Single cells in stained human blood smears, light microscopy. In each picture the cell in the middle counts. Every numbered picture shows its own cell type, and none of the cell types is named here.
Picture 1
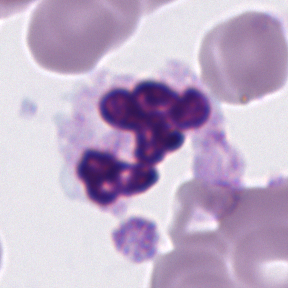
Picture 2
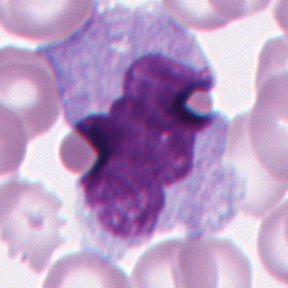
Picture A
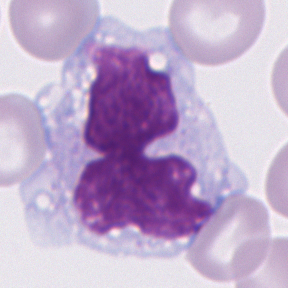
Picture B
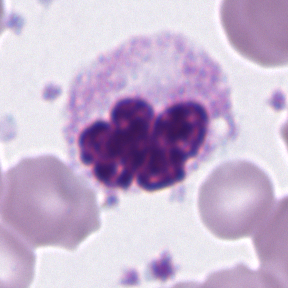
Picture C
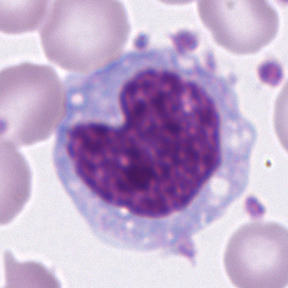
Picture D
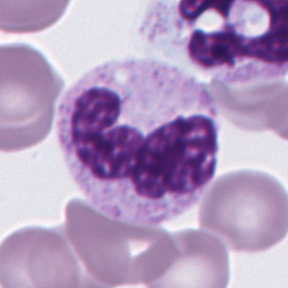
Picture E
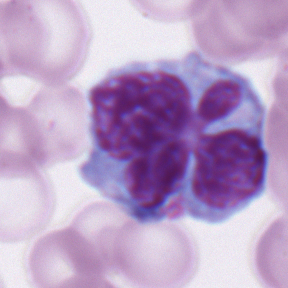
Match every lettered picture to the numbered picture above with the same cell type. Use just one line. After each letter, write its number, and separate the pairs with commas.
A 2, B 1, C 2, D 1, E 2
